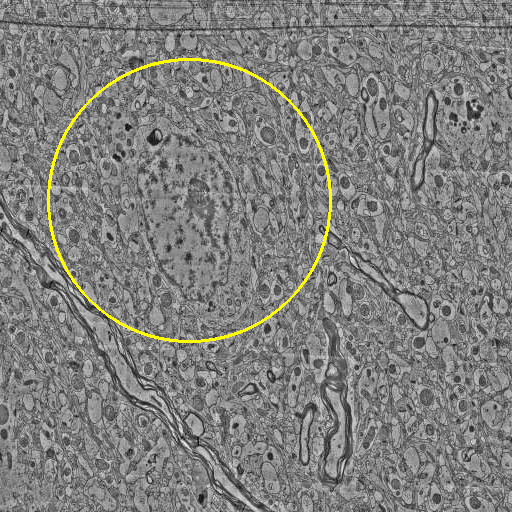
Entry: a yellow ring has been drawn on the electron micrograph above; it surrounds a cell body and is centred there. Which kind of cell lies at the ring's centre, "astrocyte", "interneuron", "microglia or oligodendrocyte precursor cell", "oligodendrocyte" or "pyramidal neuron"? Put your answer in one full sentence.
The cell sitting at the ring's centre is an interneuron in the micrograph above.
